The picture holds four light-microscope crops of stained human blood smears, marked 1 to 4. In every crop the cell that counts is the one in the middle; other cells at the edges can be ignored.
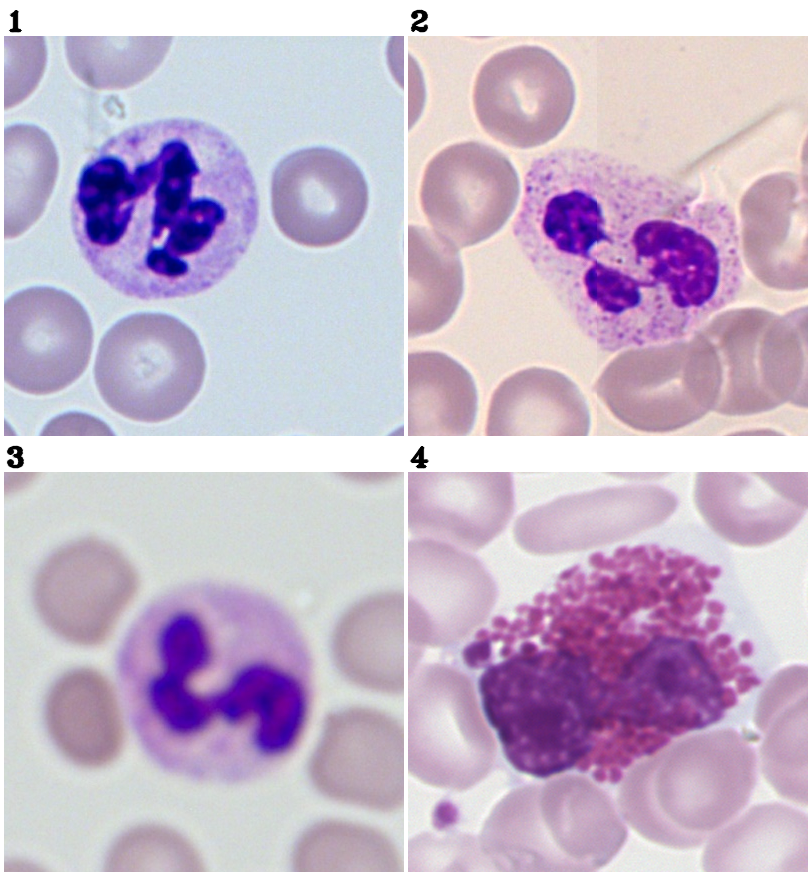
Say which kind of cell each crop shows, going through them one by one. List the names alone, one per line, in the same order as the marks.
segmented neutrophil
segmented neutrophil
segmented neutrophil
eosinophil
